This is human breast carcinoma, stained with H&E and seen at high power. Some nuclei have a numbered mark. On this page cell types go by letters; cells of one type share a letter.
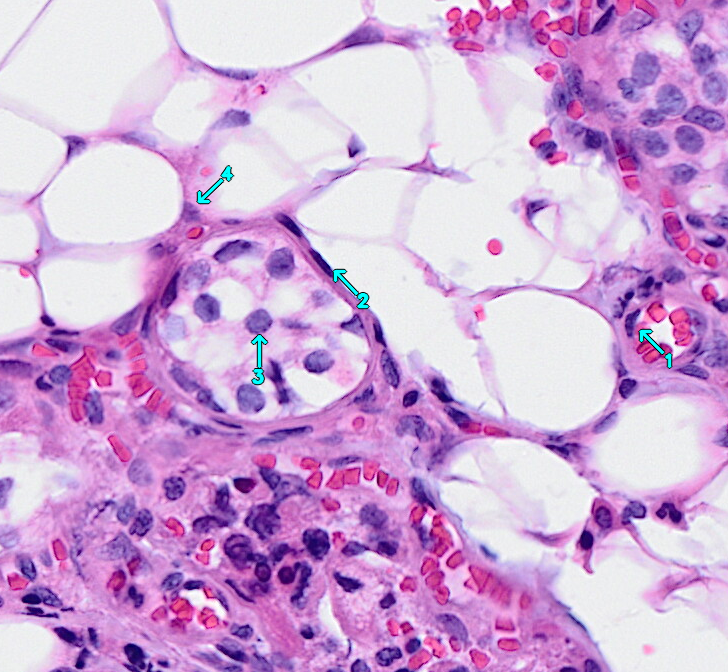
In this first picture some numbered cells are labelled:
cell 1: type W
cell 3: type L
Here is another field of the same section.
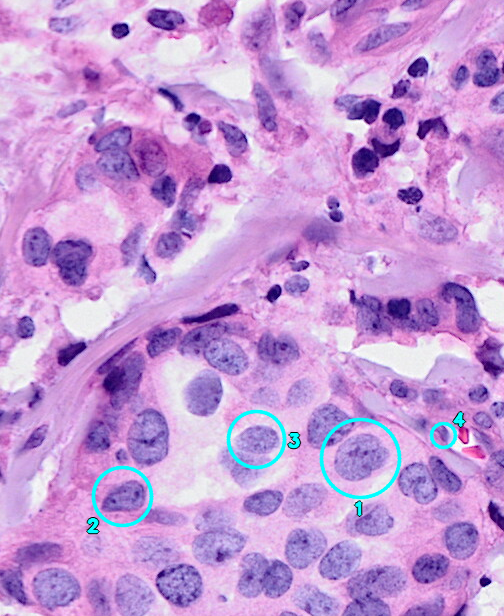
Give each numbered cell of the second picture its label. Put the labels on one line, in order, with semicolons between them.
type L; type L; type L; type W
